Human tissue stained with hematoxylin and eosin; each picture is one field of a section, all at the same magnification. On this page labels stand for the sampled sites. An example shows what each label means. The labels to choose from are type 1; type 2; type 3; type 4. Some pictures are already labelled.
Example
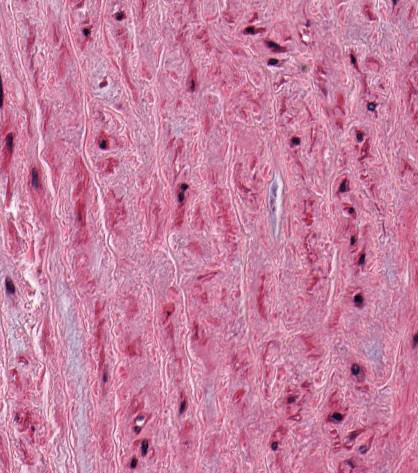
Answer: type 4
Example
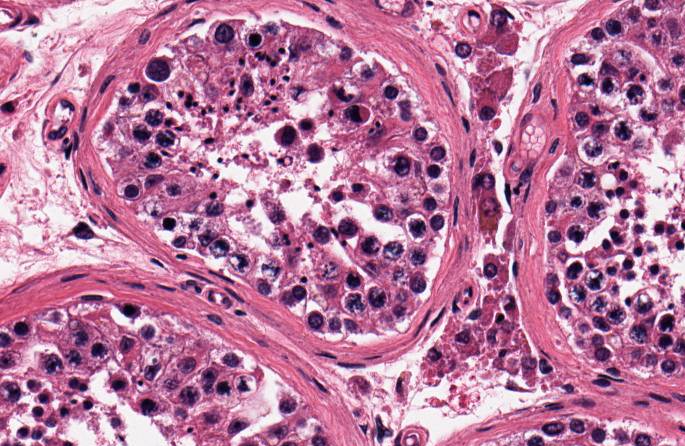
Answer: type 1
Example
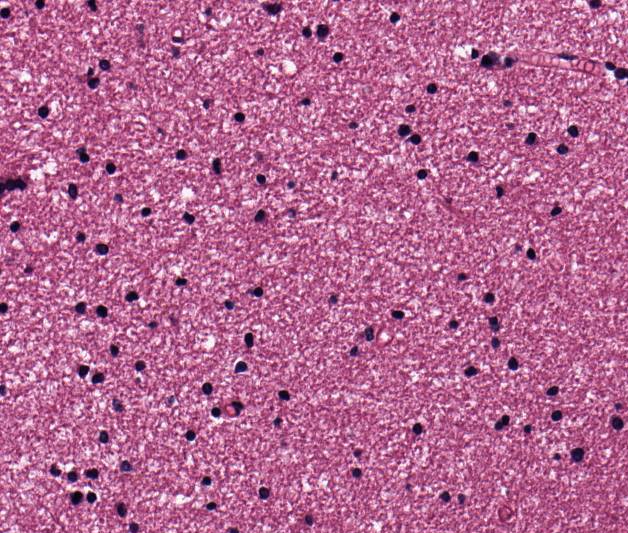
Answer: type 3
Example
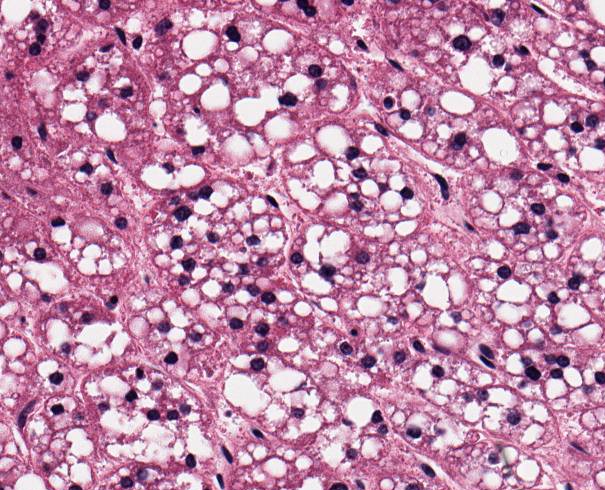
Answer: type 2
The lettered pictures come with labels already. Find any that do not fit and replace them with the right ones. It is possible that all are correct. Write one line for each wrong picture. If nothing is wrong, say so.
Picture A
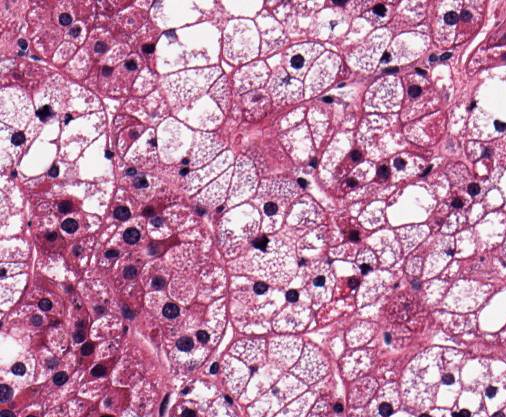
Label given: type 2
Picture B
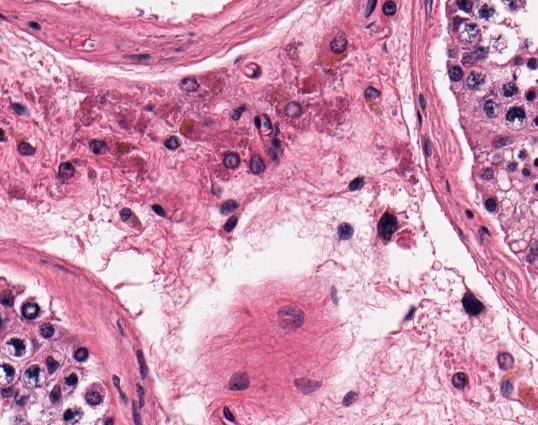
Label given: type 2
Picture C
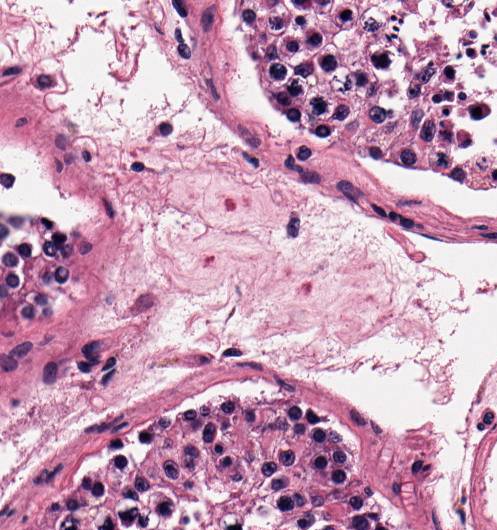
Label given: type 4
B: not type 2 but type 1
C: not type 4 but type 1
